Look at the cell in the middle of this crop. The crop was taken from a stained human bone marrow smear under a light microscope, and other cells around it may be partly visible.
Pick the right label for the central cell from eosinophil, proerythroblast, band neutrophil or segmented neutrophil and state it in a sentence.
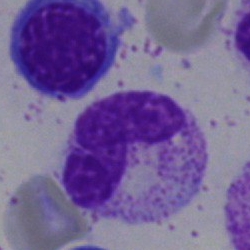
Of the cells in this crop, the central one is a band neutrophil.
